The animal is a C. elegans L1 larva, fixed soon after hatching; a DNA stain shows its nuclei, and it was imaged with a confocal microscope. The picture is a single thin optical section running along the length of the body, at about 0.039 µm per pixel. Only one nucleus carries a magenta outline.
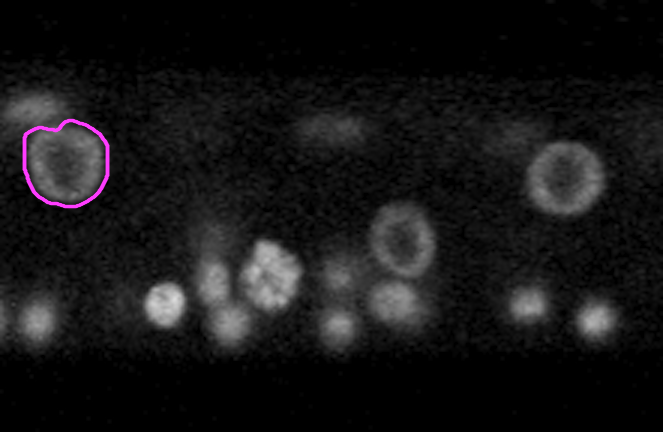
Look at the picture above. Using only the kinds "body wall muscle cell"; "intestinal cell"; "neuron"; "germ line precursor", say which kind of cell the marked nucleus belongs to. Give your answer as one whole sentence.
The marked cell is an intestinal cell.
